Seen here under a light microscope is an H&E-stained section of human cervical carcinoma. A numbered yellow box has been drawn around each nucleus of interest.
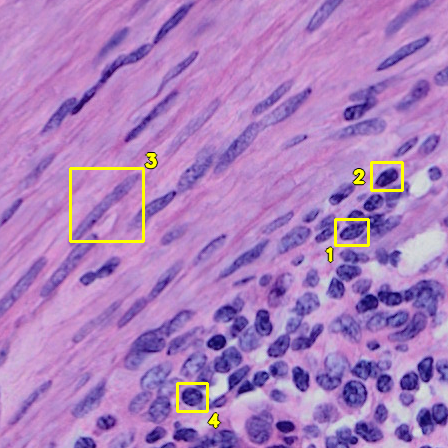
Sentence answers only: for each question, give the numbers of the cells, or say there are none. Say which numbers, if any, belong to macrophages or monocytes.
No macrophages or monocytes are present among the cells marked with numbers.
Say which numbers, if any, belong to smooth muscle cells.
The nucleus numbered 3 is the only one that belongs to a smooth muscle cell.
